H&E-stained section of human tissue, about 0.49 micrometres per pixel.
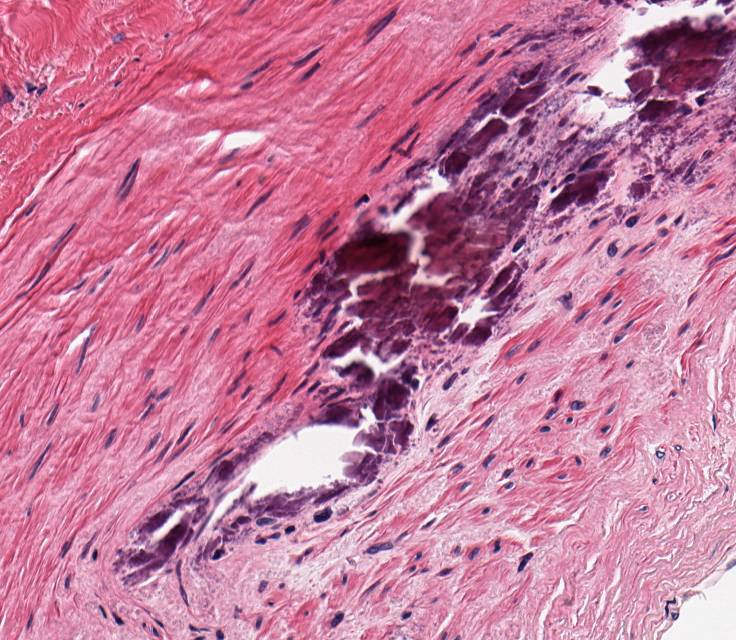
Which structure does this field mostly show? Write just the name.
tunica media of an artery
